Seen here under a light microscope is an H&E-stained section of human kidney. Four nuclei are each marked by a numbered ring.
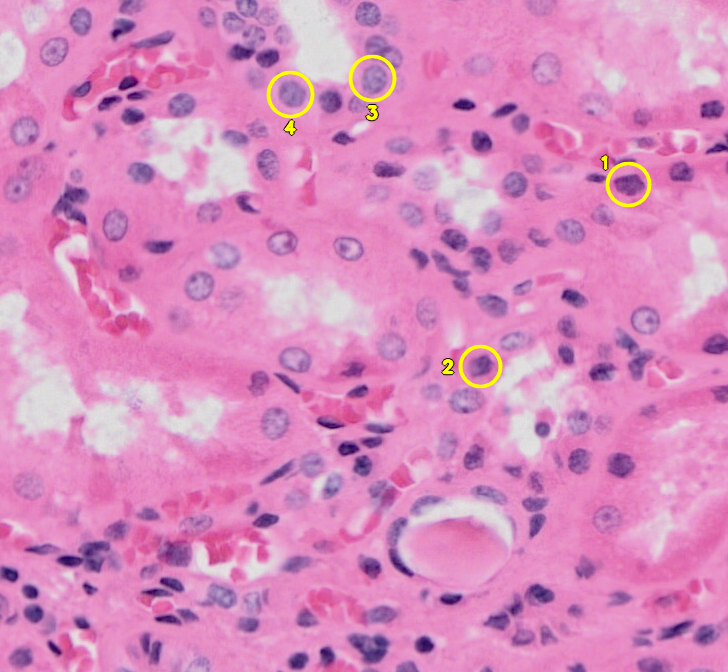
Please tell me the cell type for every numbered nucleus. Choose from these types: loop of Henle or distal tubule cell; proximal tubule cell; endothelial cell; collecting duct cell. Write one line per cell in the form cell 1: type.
cell 1: proximal tubule cell
cell 2: loop of Henle or distal tubule cell
cell 3: collecting duct cell
cell 4: collecting duct cell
